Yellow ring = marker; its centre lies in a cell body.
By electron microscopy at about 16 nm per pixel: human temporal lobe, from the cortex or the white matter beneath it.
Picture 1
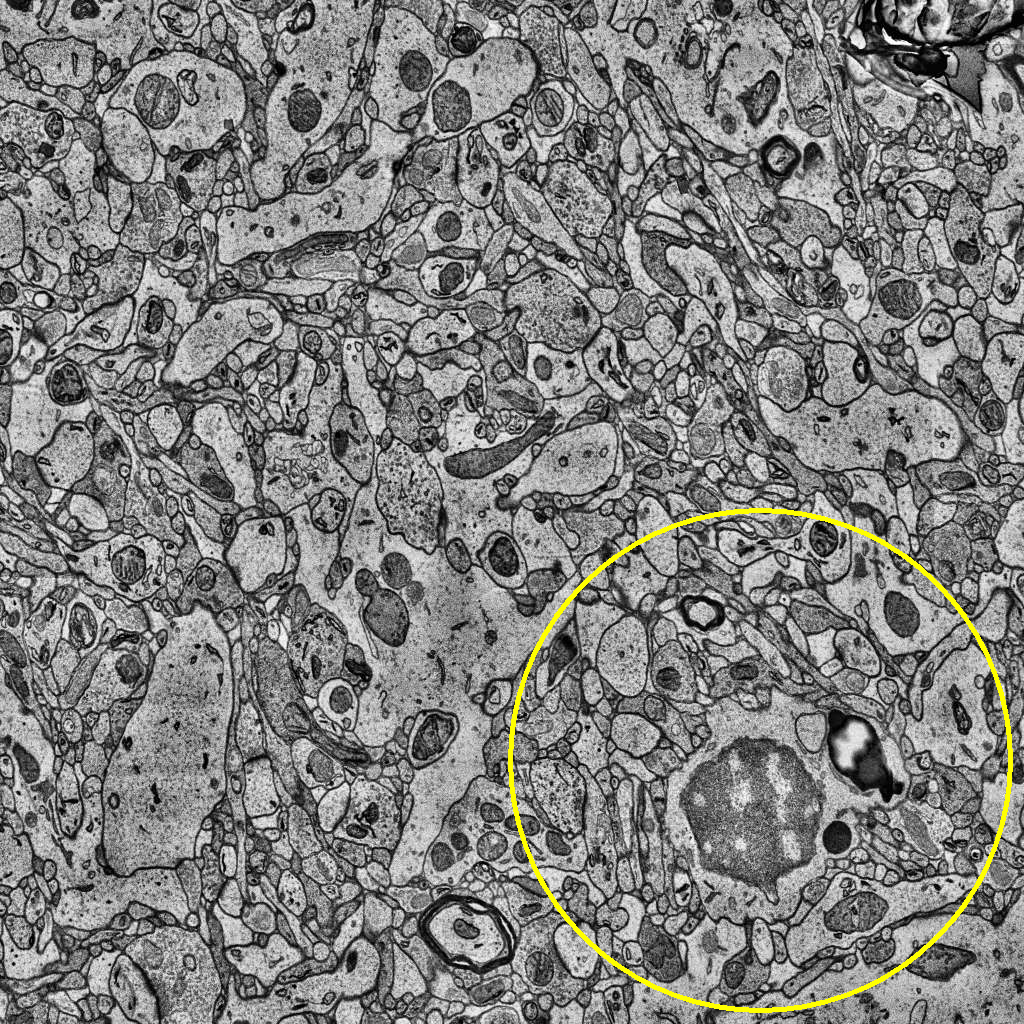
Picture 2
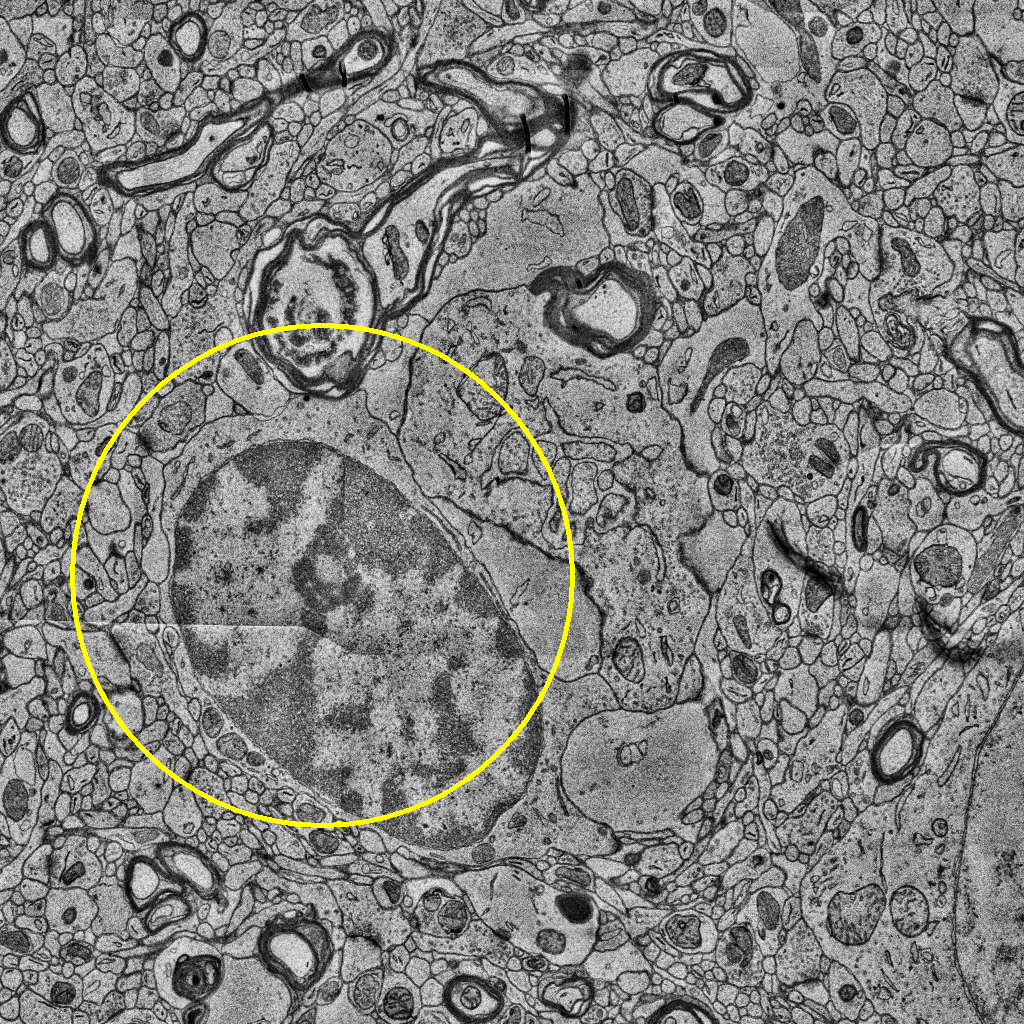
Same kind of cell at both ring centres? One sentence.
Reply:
Yes, they are the same kind of cell.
